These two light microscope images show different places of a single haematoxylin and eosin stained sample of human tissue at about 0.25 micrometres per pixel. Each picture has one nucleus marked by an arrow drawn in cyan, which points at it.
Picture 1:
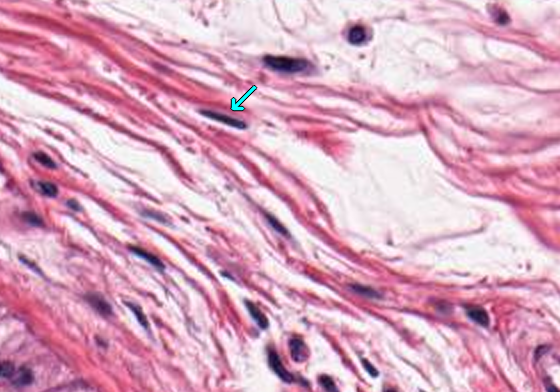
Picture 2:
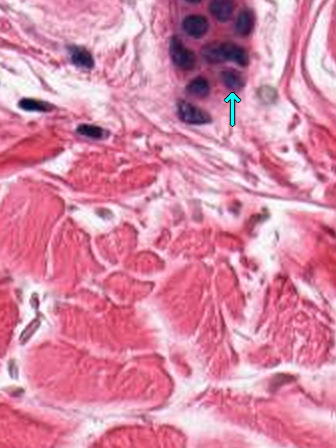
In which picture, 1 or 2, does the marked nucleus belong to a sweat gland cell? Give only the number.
2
